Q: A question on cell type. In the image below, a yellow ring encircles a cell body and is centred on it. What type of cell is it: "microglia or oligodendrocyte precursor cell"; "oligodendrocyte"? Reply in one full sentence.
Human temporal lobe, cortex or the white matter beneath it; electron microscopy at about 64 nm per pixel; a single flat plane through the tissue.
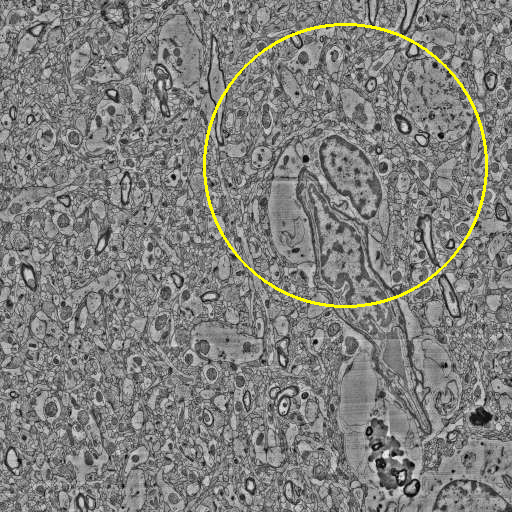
It is a microglial cell or oligodendrocyte precursor cell whose cell body sits at the centre of the yellow ring in the image.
